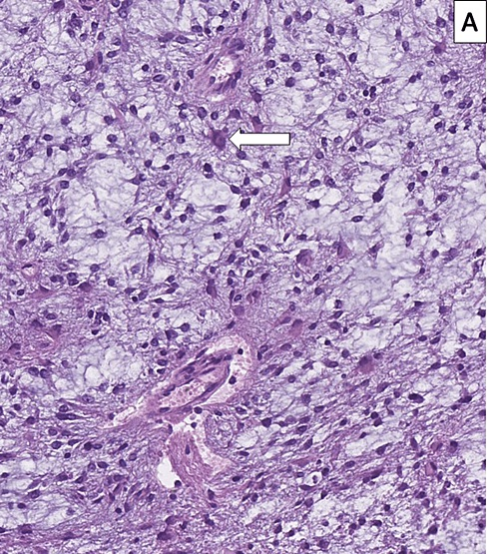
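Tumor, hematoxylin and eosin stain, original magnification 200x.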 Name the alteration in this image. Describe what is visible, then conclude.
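Myxoid areas. Large parts of the tissue are pale, with bubbly clear spaces. Cells lie loosely within this pale material.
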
